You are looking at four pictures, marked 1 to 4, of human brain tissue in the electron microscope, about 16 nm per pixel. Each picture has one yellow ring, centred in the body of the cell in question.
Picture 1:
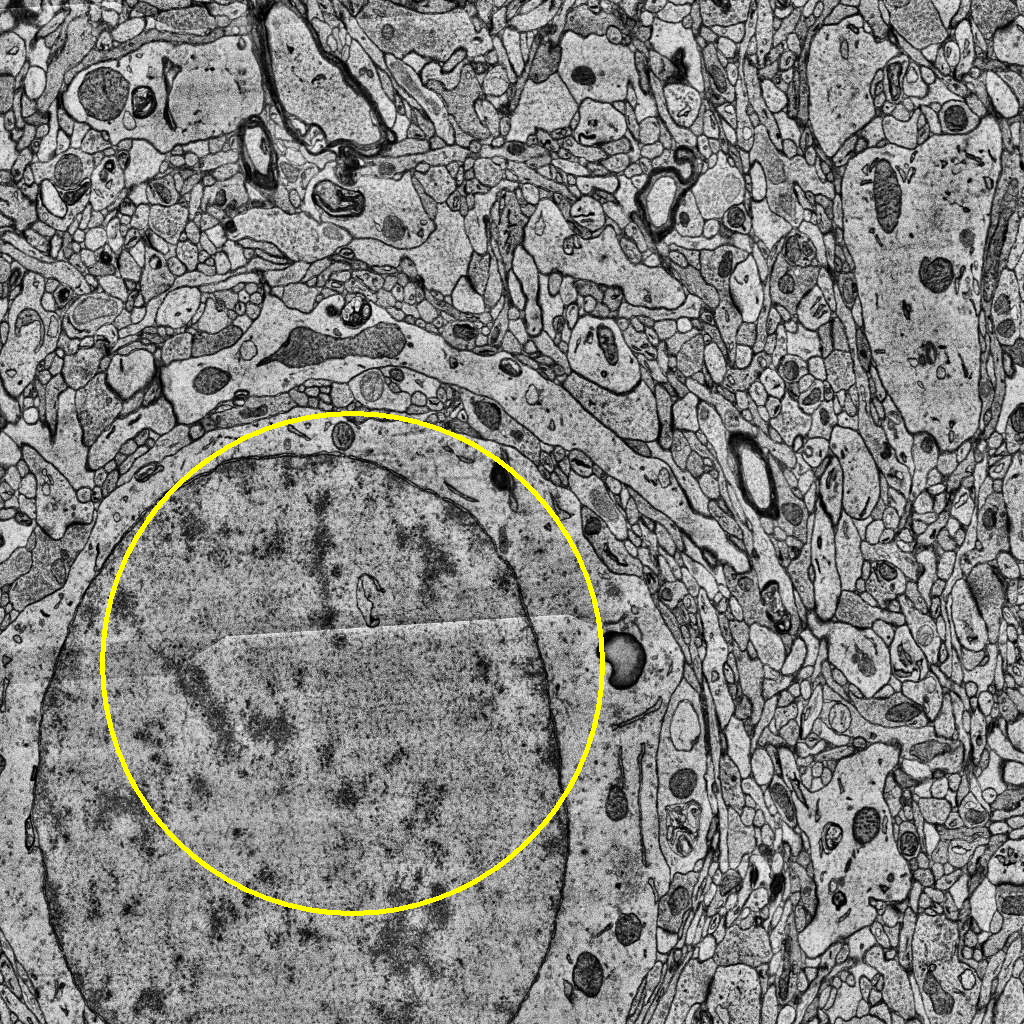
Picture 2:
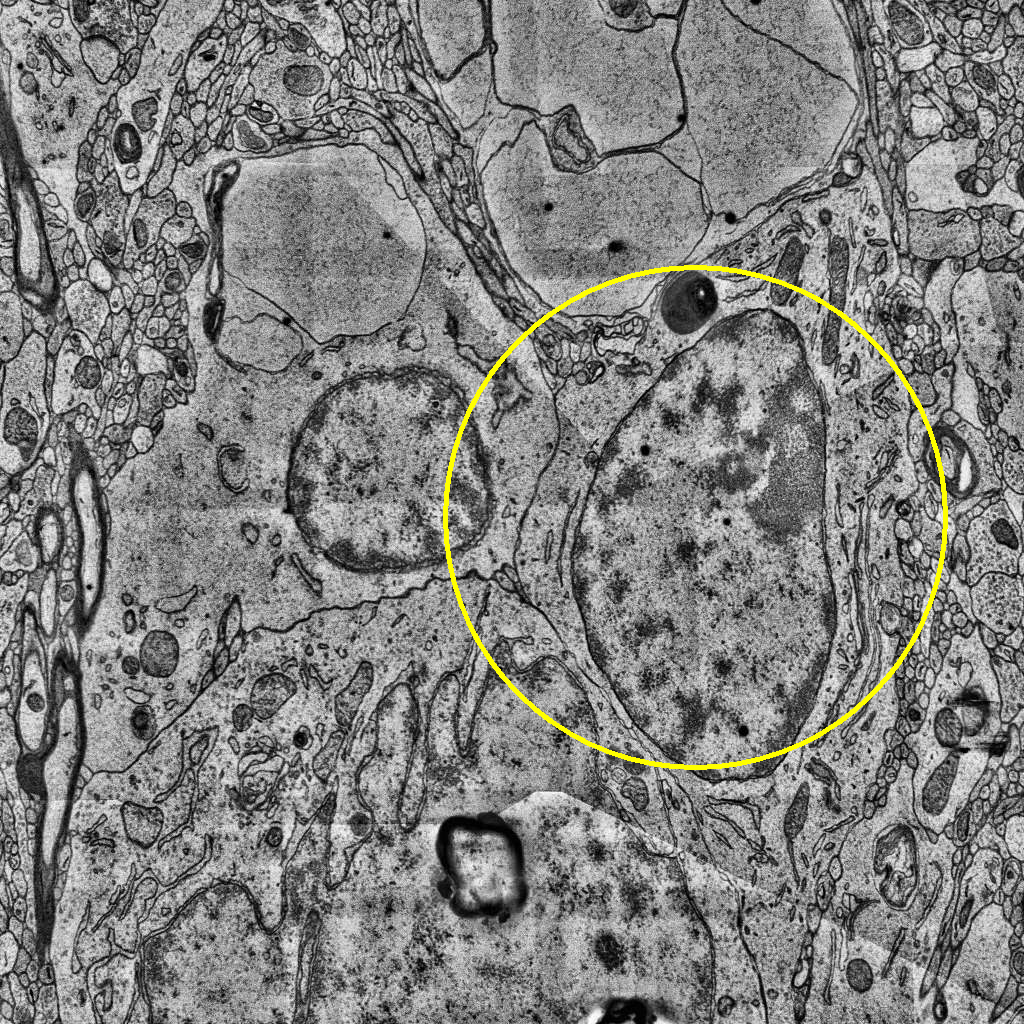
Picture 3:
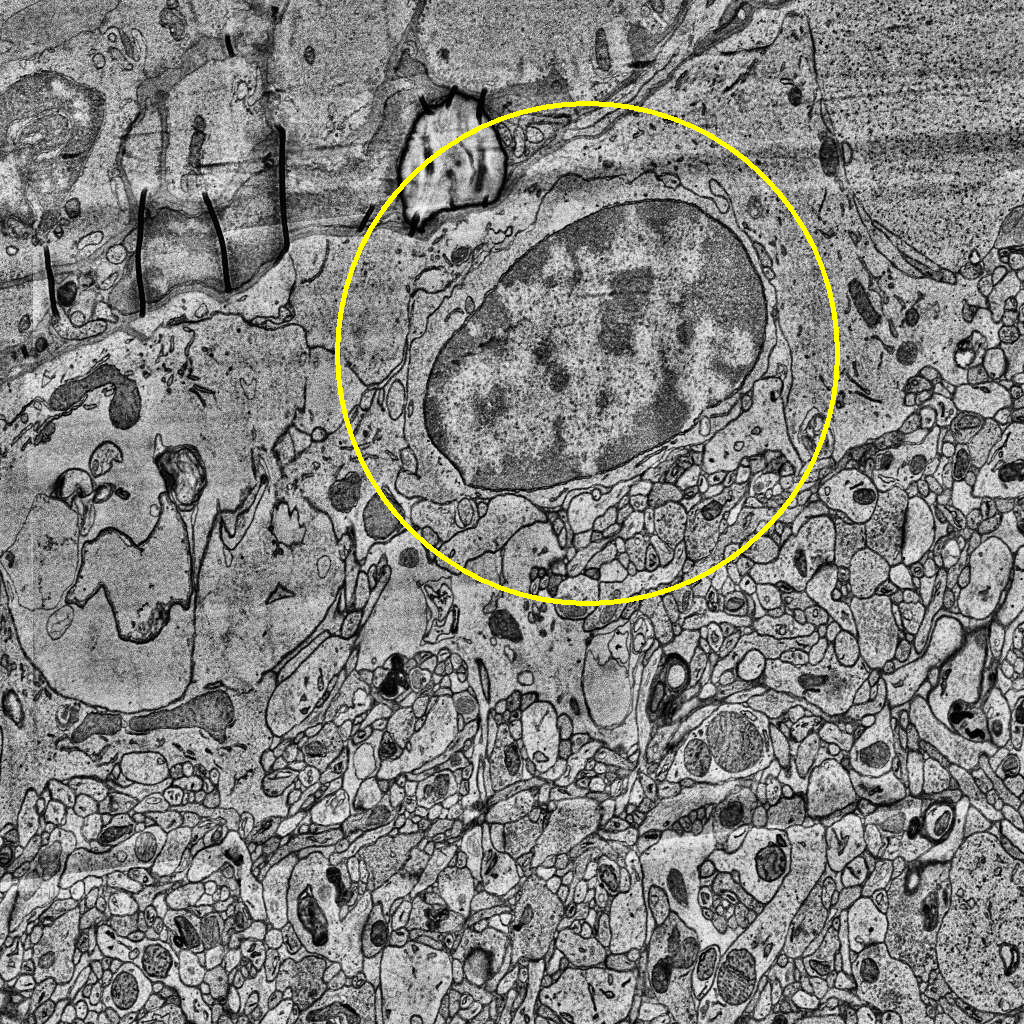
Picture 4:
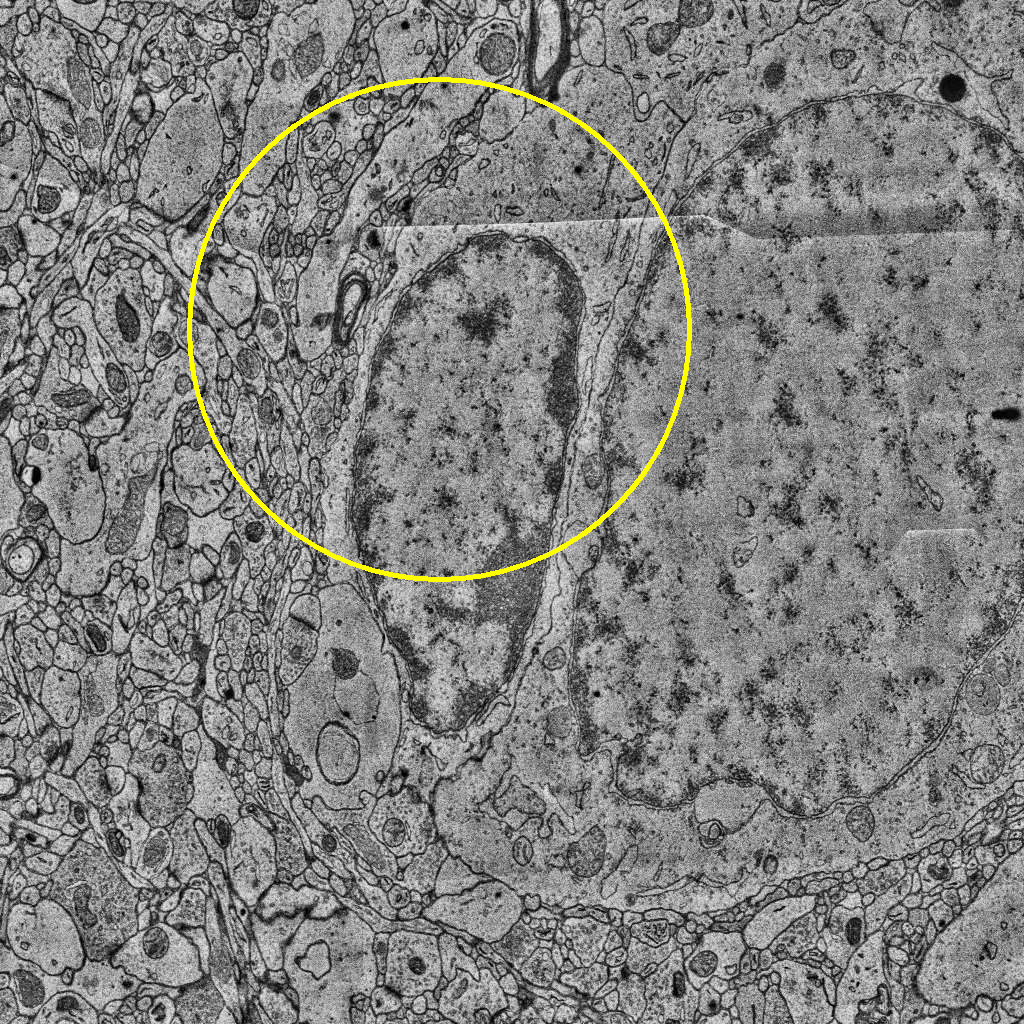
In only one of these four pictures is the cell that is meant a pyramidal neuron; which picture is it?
The pyramidal neuron is the one in picture 1.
